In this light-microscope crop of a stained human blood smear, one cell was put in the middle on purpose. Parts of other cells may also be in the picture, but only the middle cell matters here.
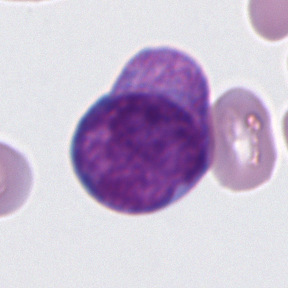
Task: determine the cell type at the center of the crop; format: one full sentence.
As for the cell in the middle, it is an atypical promyelocyte.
